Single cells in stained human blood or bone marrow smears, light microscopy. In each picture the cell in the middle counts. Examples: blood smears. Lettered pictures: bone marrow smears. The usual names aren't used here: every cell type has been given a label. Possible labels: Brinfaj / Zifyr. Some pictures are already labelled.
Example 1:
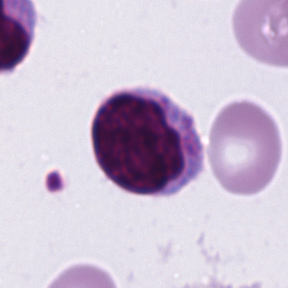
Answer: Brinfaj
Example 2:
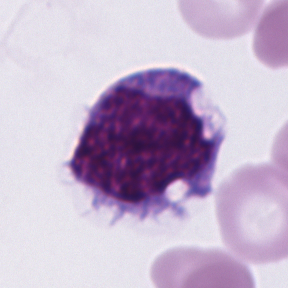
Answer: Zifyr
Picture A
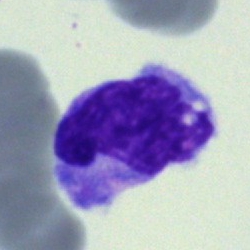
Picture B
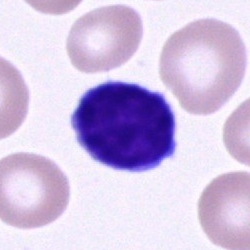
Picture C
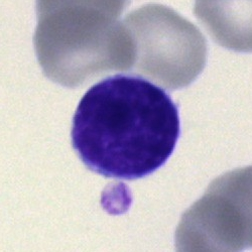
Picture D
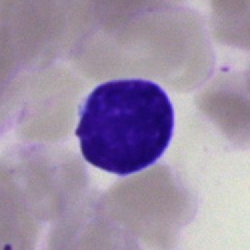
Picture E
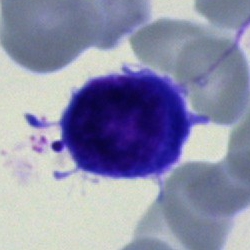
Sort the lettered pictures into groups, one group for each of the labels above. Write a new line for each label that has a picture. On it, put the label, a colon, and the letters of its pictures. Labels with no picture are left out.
Brinfaj: B, C, D, E
Zifyr: A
